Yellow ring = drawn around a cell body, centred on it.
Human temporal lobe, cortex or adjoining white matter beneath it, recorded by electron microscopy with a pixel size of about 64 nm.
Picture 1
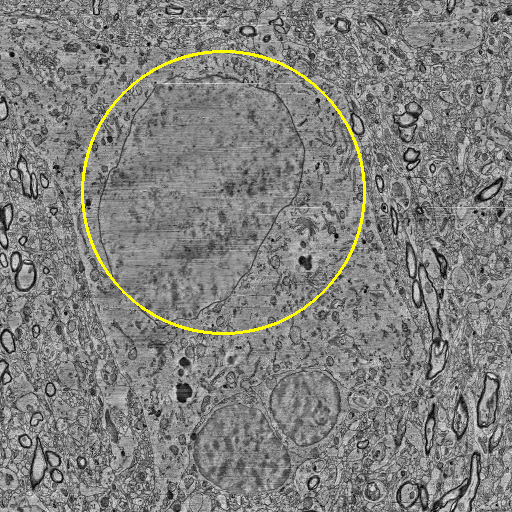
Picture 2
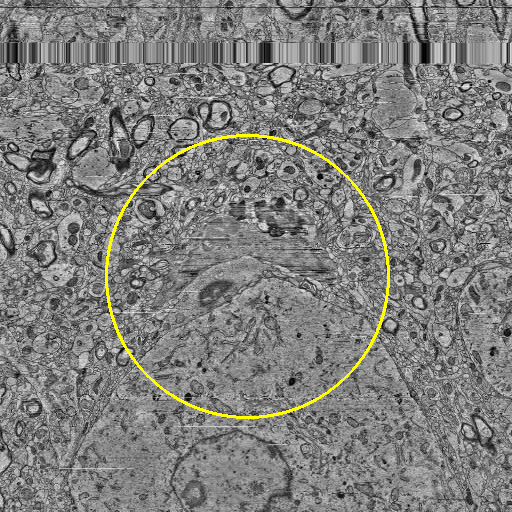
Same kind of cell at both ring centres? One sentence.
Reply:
No, they are two kinds of cell.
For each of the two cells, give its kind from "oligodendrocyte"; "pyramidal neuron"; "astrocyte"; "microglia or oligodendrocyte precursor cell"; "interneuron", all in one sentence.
The first picture has a pyramidal neuron in its ring, the second has an oligodendrocyte.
